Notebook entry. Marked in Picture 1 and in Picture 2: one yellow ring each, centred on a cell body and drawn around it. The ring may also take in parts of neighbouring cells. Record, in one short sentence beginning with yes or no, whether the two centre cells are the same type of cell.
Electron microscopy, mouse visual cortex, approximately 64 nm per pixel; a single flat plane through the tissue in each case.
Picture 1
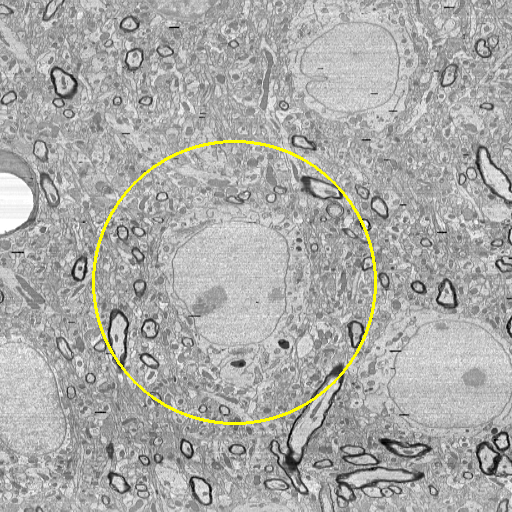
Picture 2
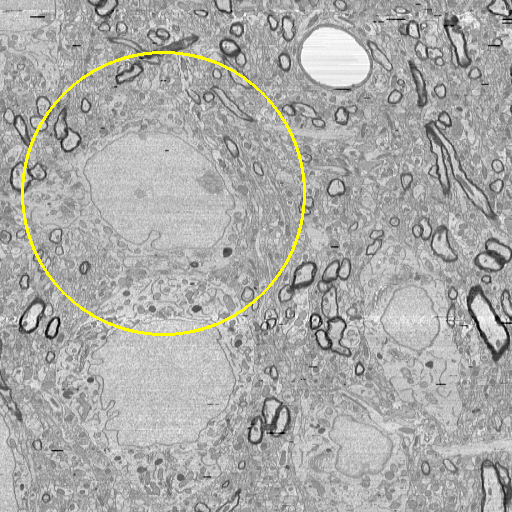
Yes, both are the same type of cell.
